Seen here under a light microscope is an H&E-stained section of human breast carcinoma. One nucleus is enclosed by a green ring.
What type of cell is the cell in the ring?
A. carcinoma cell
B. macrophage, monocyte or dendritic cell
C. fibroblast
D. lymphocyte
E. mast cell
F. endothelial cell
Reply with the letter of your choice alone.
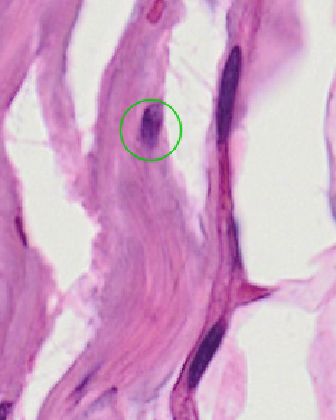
C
